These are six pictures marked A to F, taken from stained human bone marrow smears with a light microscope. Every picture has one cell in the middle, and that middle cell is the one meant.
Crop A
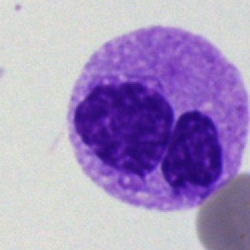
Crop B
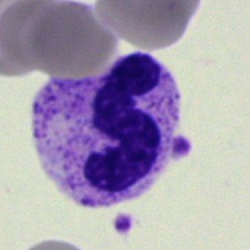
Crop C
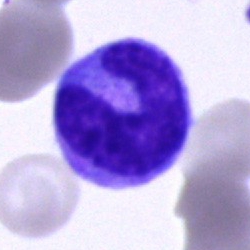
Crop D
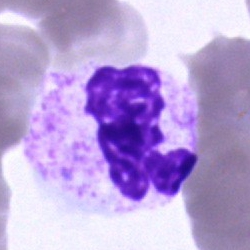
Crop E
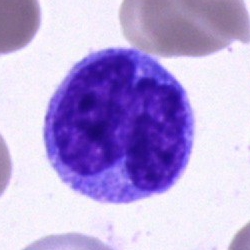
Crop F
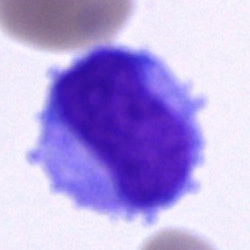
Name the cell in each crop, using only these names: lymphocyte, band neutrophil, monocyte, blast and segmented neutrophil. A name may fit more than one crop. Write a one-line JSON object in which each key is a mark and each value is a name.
{"A": "segmented neutrophil", "B": "segmented neutrophil", "C": "monocyte", "D": "segmented neutrophil", "E": "monocyte", "F": "blast"}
